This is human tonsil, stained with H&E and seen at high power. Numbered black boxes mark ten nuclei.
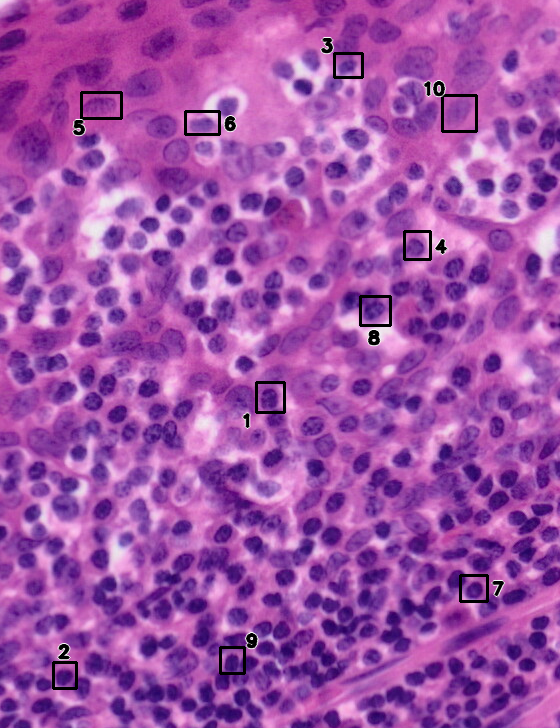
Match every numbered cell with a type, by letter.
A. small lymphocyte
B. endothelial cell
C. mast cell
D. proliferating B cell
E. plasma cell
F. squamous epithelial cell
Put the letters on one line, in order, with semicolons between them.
E; E; F; E; F; F; E; E; A; F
